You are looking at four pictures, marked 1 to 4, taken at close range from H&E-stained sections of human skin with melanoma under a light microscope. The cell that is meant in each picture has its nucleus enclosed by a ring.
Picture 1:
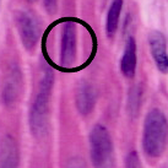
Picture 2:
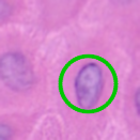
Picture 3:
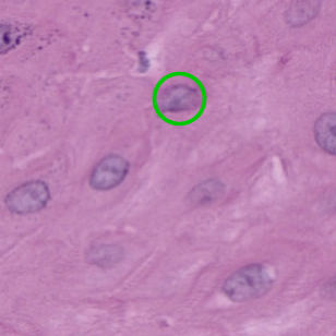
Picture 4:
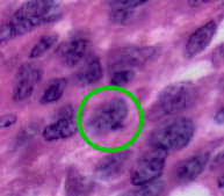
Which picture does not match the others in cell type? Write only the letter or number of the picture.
4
